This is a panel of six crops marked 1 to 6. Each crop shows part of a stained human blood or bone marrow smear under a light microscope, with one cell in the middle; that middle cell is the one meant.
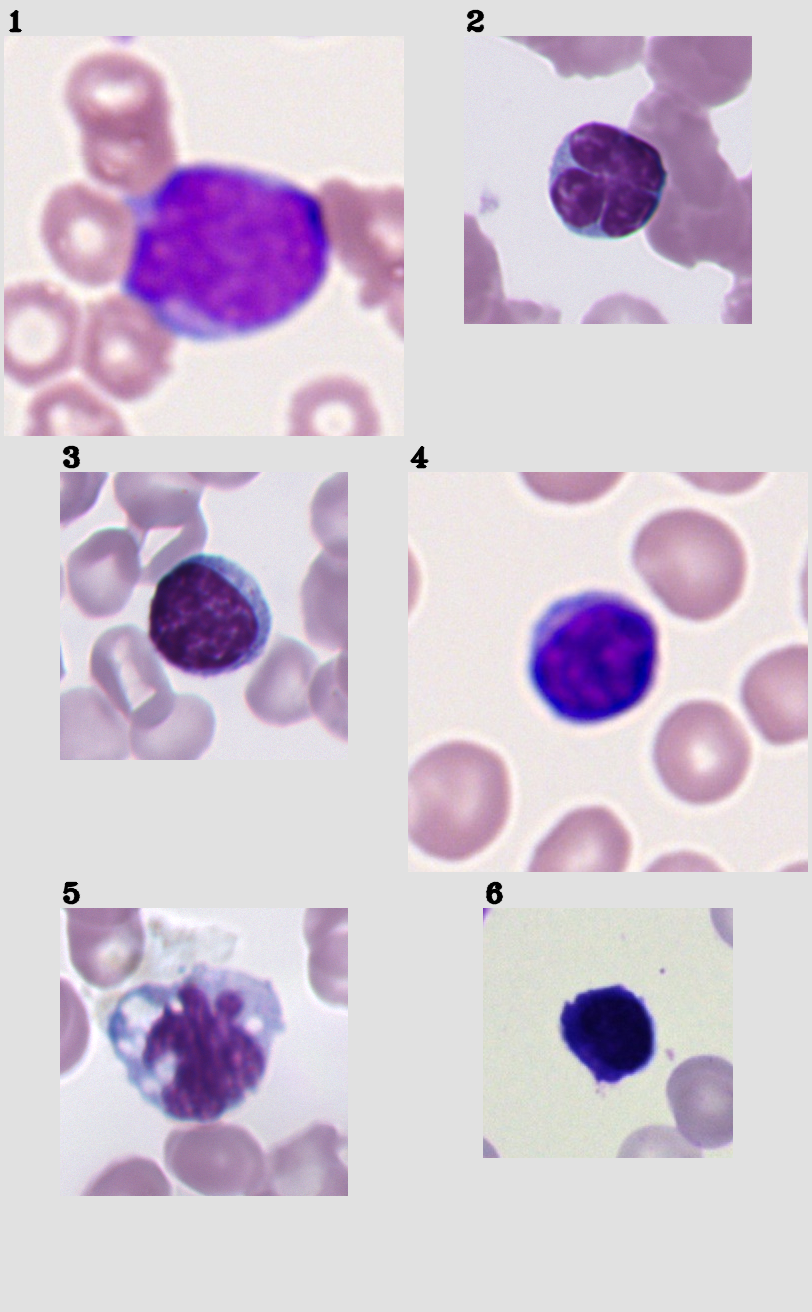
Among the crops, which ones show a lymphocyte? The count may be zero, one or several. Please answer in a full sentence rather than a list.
Crops 2, 3, 4 and 6 display lymphocytes in the centre of the field.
